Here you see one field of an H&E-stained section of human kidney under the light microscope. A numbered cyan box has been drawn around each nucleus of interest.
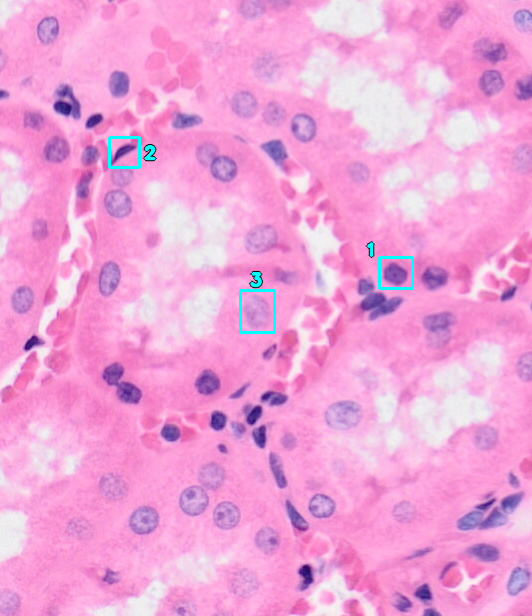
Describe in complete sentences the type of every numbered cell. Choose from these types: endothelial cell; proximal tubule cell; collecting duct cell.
Cells 1 and 3 are proximal tubule cells. Cell 2 is an endothelial cell.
